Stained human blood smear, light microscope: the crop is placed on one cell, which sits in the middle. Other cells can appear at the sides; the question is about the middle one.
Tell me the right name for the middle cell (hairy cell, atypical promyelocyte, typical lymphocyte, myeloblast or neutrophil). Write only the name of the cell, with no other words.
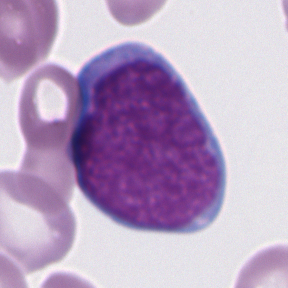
myeloblast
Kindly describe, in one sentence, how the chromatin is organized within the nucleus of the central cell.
The key point is fine chromatin with no coarse clumps.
